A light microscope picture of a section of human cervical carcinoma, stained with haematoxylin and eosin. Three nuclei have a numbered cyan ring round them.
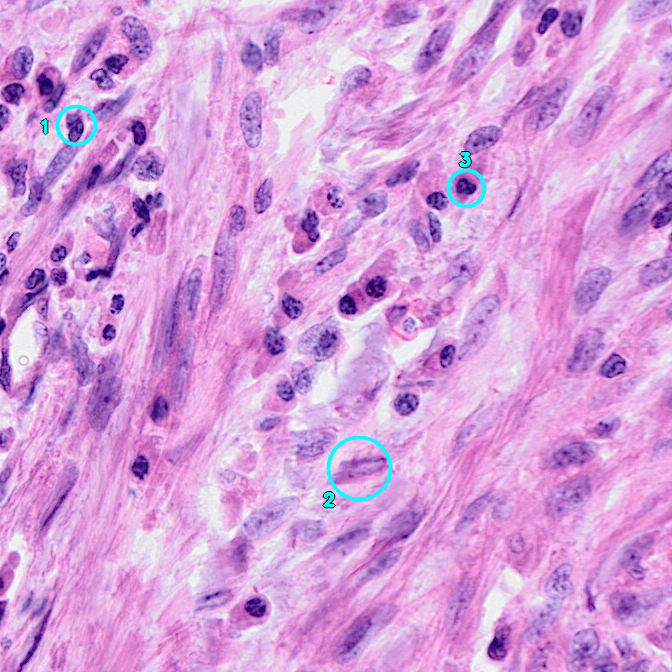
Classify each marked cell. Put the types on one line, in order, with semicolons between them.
lymphocyte; fibroblast; lymphocyte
